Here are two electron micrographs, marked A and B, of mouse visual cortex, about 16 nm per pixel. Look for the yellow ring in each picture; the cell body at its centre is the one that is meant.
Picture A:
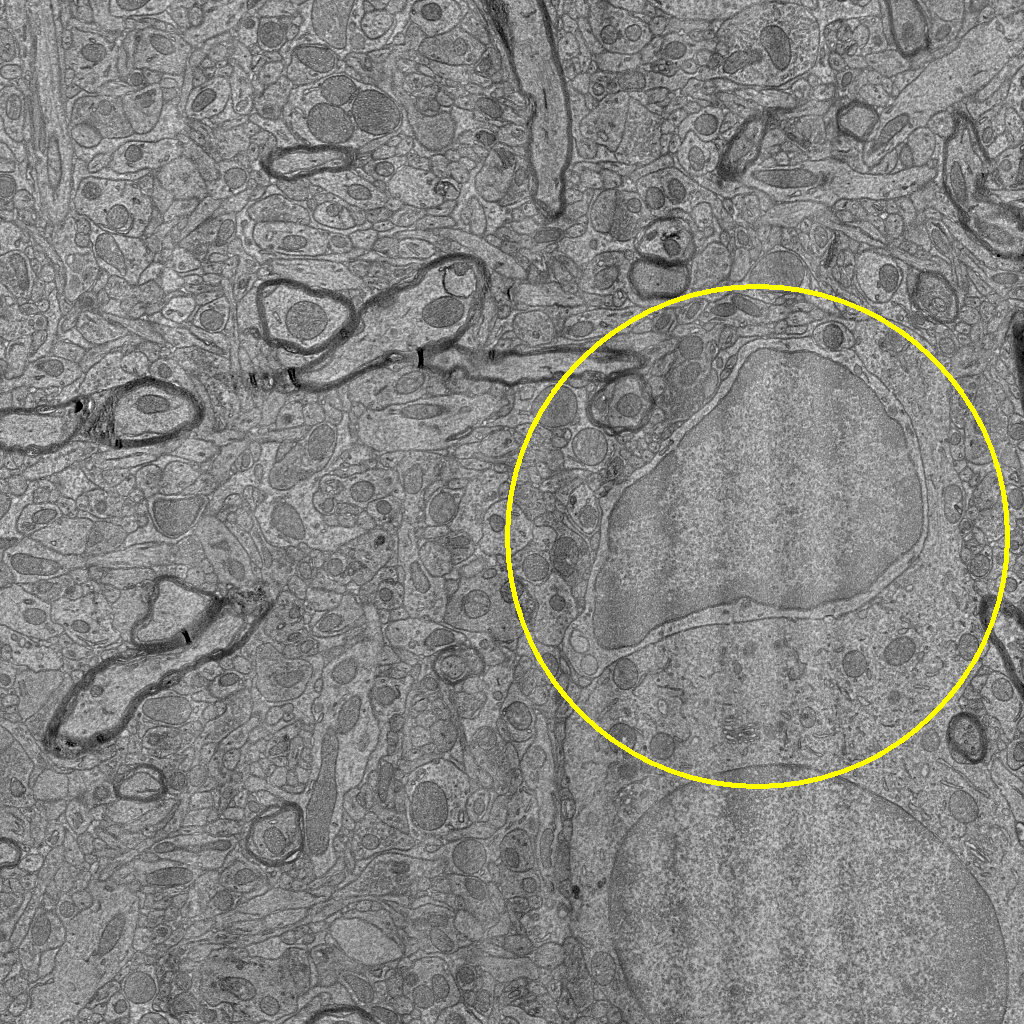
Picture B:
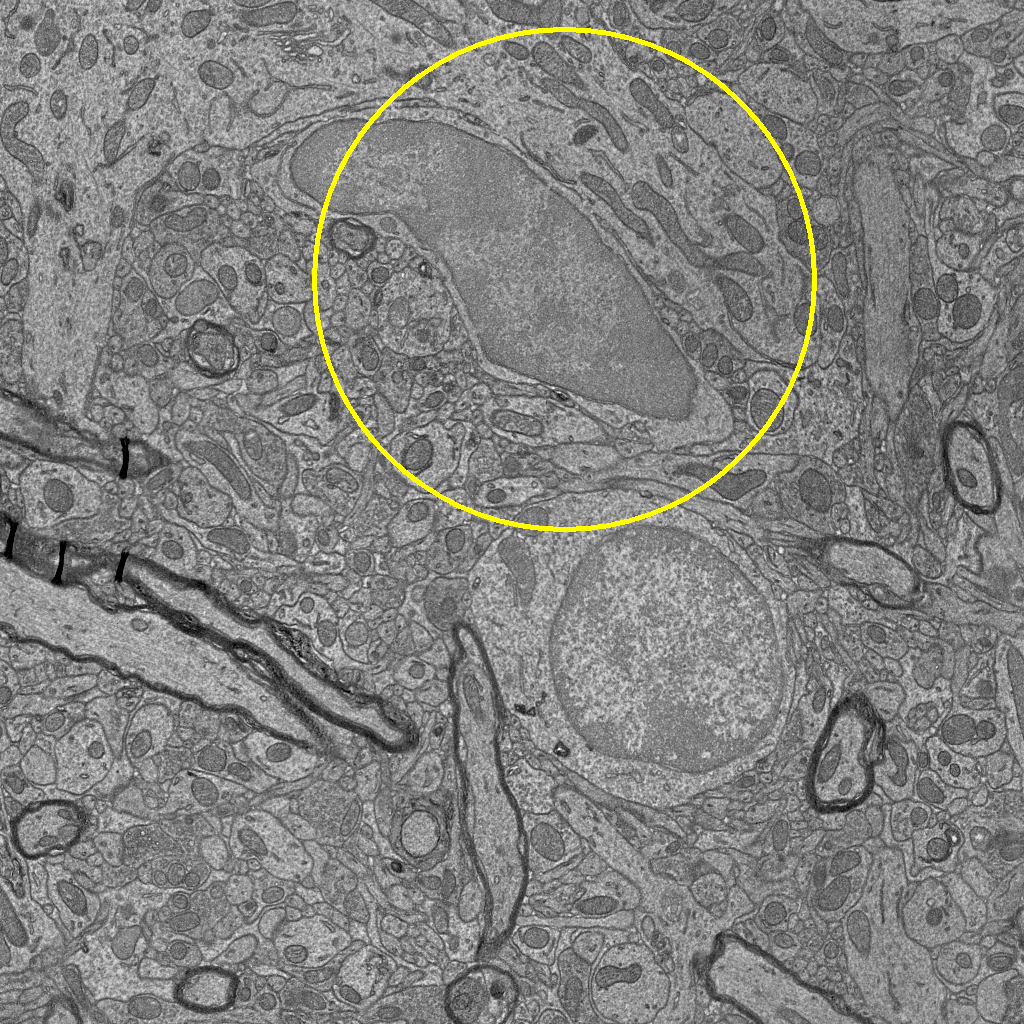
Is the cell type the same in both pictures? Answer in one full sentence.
Yes, both are microglial cells.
